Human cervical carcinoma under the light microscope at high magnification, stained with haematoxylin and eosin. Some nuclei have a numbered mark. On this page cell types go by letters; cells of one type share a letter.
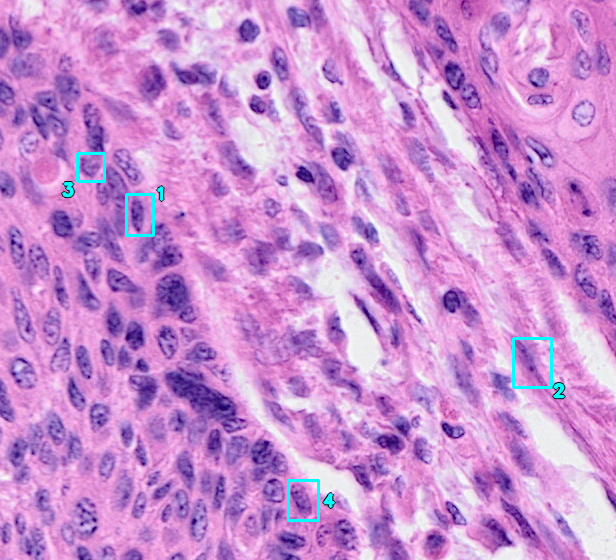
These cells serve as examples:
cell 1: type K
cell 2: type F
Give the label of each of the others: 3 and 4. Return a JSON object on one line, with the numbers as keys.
{"3": "type K", "4": "type K"}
